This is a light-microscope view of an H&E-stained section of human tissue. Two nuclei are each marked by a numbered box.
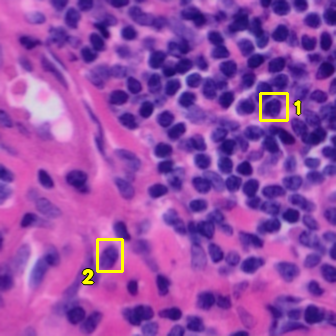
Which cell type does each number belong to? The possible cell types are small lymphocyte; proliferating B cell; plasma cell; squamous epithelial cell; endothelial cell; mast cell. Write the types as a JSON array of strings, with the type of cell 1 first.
["small lymphocyte", "mast cell"]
